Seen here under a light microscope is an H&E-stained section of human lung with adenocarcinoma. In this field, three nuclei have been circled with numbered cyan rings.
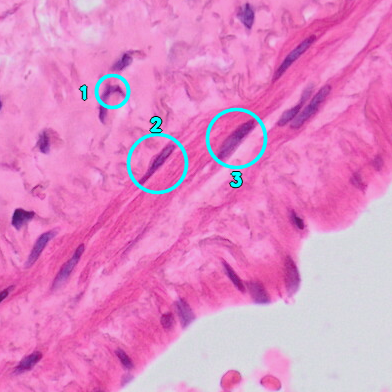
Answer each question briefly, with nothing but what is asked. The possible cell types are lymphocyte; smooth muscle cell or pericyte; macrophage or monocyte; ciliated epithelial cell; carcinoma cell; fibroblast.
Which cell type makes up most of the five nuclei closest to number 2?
fibroblast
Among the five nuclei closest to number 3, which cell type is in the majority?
smooth muscle cell or pericyte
